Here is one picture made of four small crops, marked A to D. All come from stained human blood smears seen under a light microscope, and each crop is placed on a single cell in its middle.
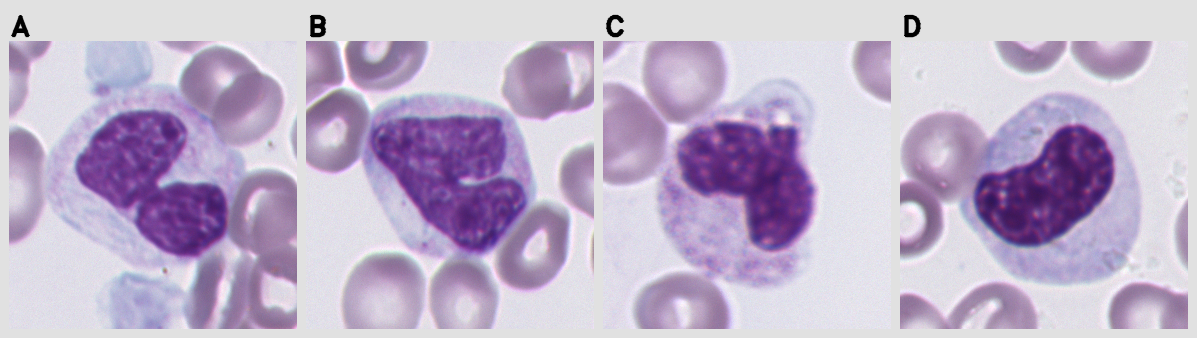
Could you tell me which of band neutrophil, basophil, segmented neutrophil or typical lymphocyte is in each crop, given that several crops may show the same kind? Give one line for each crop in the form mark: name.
A: band neutrophil
B: band neutrophil
C: segmented neutrophil
D: band neutrophil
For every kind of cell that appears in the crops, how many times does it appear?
band neutrophil: 3
segmented neutrophil: 1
